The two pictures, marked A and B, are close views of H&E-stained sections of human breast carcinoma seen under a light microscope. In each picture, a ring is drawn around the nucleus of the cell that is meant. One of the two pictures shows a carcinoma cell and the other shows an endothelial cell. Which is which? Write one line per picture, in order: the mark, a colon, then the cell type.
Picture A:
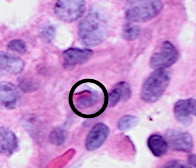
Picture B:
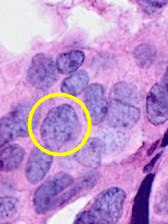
A: endothelial cell
B: carcinoma cell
